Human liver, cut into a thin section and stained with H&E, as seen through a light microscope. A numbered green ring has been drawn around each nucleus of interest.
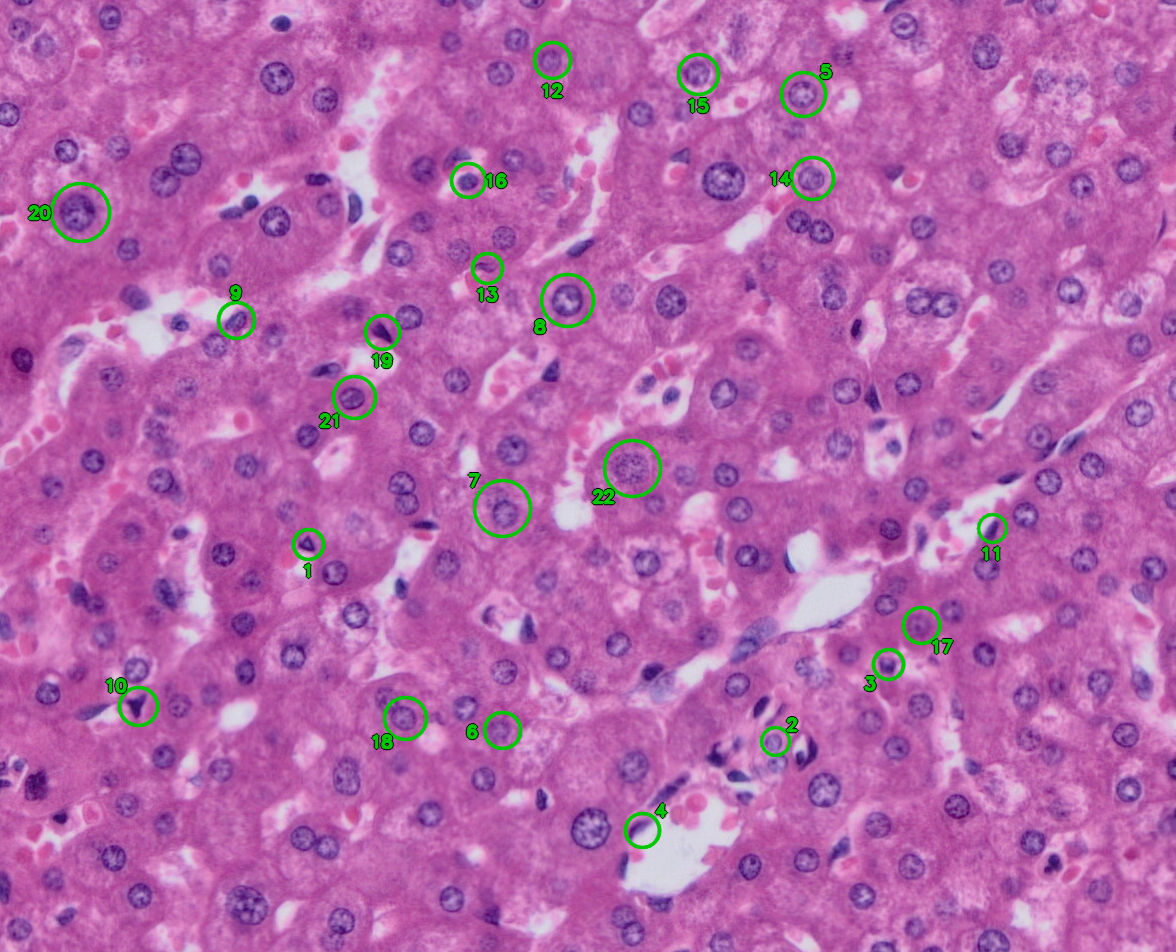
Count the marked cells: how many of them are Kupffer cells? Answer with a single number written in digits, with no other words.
0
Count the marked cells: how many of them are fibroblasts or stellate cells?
7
